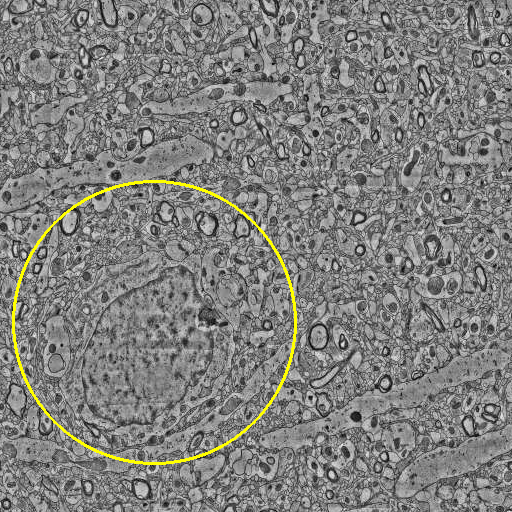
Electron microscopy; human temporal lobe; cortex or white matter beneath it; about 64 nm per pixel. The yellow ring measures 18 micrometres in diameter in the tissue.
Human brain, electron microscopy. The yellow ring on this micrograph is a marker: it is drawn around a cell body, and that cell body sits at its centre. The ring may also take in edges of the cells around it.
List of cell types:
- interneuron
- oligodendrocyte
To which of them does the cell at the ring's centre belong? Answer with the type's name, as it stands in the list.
interneuron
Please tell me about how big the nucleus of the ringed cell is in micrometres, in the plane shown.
Roughly 11 by 7 micrometres is the size of the nucleus in this plane.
